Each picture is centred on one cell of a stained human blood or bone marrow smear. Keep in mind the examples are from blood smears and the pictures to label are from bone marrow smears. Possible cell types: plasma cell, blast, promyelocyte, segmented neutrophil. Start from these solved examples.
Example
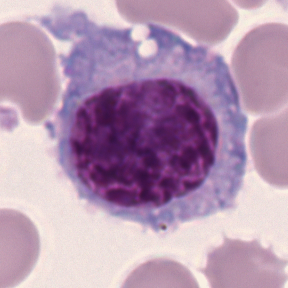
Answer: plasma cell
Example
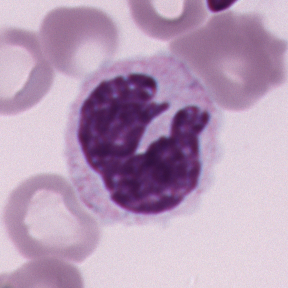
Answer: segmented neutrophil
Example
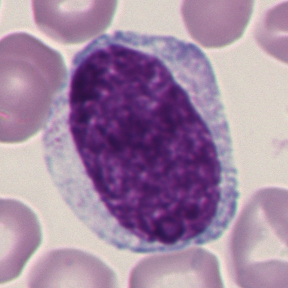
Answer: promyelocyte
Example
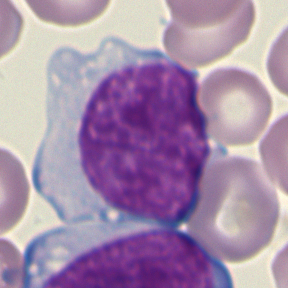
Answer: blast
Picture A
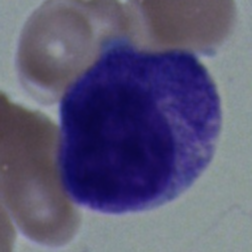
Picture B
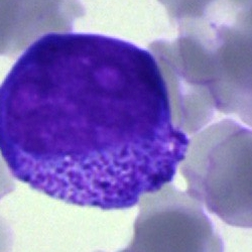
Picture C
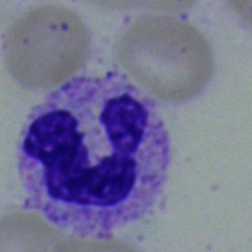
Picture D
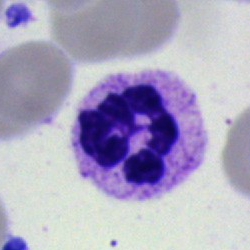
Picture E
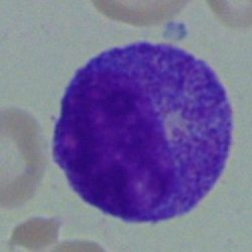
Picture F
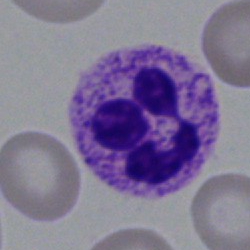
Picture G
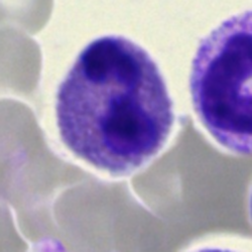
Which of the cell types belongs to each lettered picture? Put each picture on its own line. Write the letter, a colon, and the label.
A: promyelocyte
B: promyelocyte
C: segmented neutrophil
D: segmented neutrophil
E: promyelocyte
F: segmented neutrophil
G: segmented neutrophil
